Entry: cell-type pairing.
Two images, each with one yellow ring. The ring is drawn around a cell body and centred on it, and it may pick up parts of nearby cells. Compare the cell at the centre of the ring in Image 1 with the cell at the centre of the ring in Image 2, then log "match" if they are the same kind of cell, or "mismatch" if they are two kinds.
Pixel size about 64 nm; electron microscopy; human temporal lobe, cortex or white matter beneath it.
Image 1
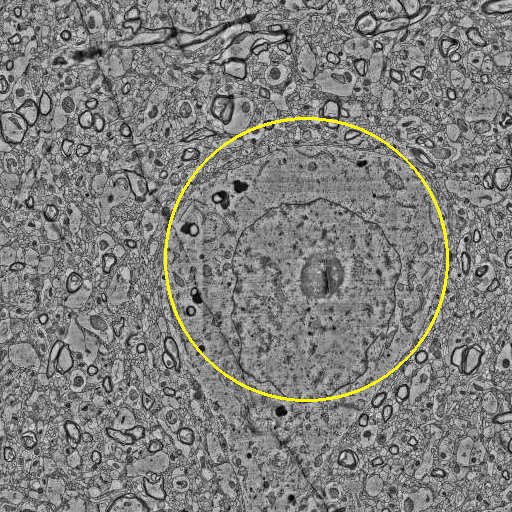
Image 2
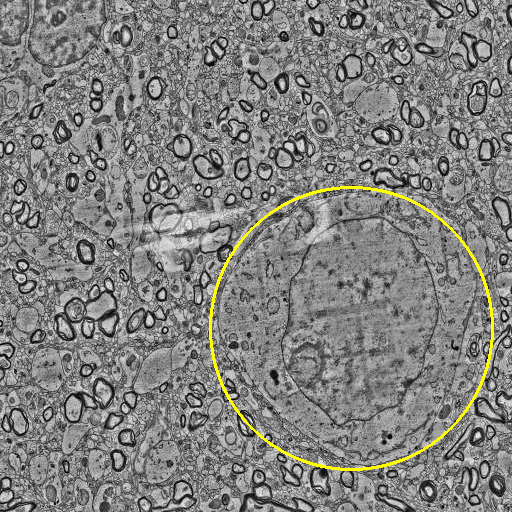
match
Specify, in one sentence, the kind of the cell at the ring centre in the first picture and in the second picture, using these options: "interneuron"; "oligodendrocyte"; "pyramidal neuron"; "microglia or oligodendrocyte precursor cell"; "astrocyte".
The cell at the ring centre is a pyramidal neuron in both pictures.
